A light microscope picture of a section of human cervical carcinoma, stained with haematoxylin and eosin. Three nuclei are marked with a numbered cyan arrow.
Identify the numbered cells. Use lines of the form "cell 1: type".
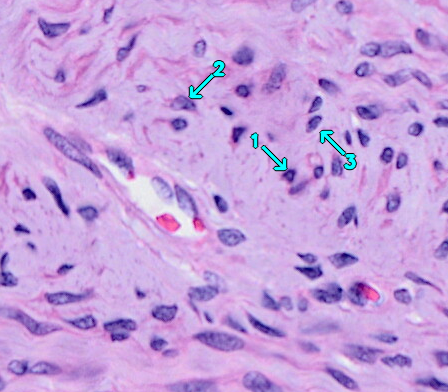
cell 1: smooth muscle cell
cell 2: smooth muscle cell
cell 3: fibroblast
